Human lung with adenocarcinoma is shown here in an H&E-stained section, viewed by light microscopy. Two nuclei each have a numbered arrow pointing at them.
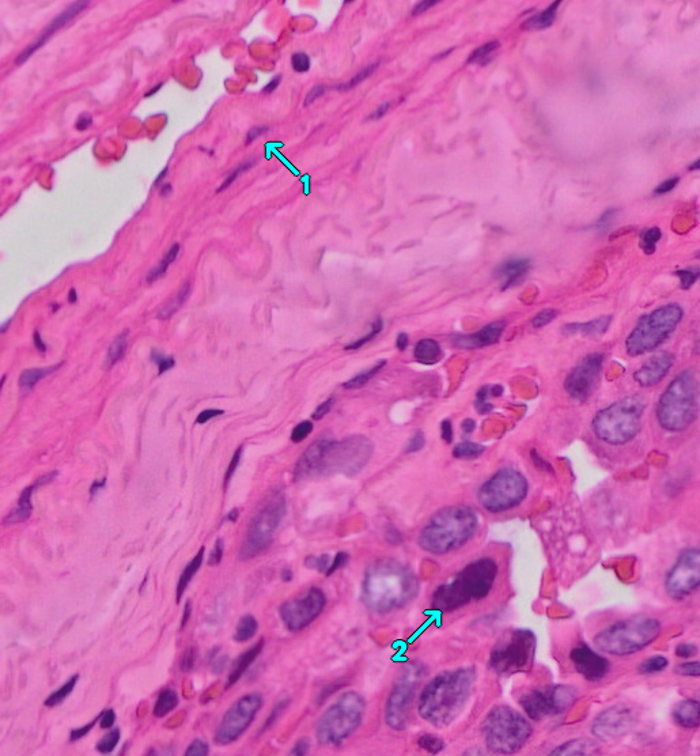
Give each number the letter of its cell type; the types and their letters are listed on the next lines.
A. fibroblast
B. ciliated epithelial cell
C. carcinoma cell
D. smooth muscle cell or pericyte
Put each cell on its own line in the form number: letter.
1: D
2: C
